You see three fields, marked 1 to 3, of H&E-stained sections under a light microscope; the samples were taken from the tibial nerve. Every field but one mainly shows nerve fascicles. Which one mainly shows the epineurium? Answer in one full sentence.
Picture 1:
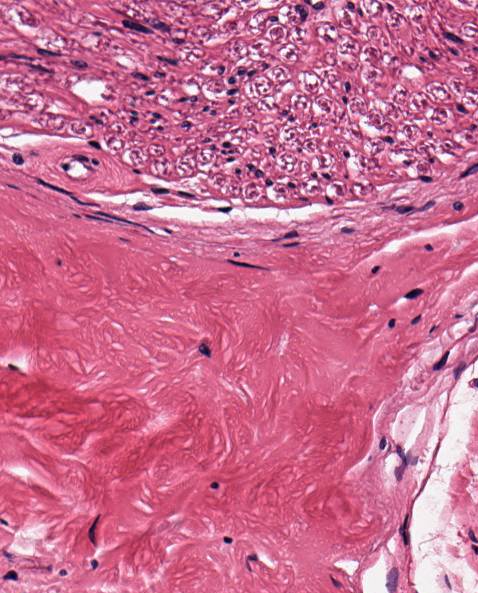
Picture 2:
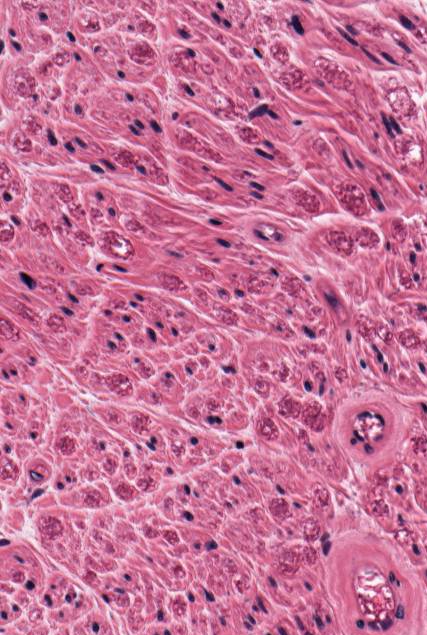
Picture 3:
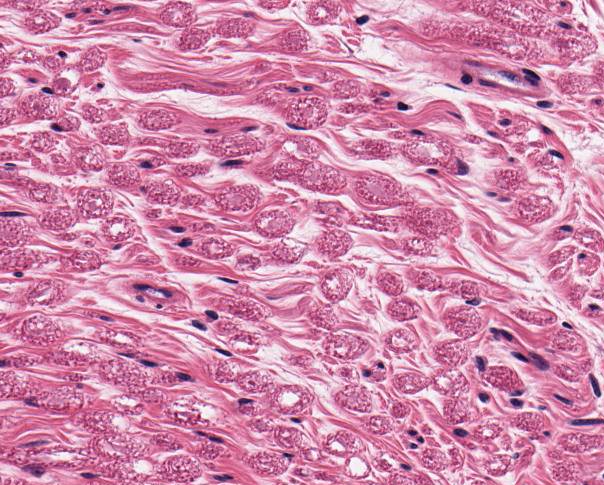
Picture 1 mainly shows the epineurium.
